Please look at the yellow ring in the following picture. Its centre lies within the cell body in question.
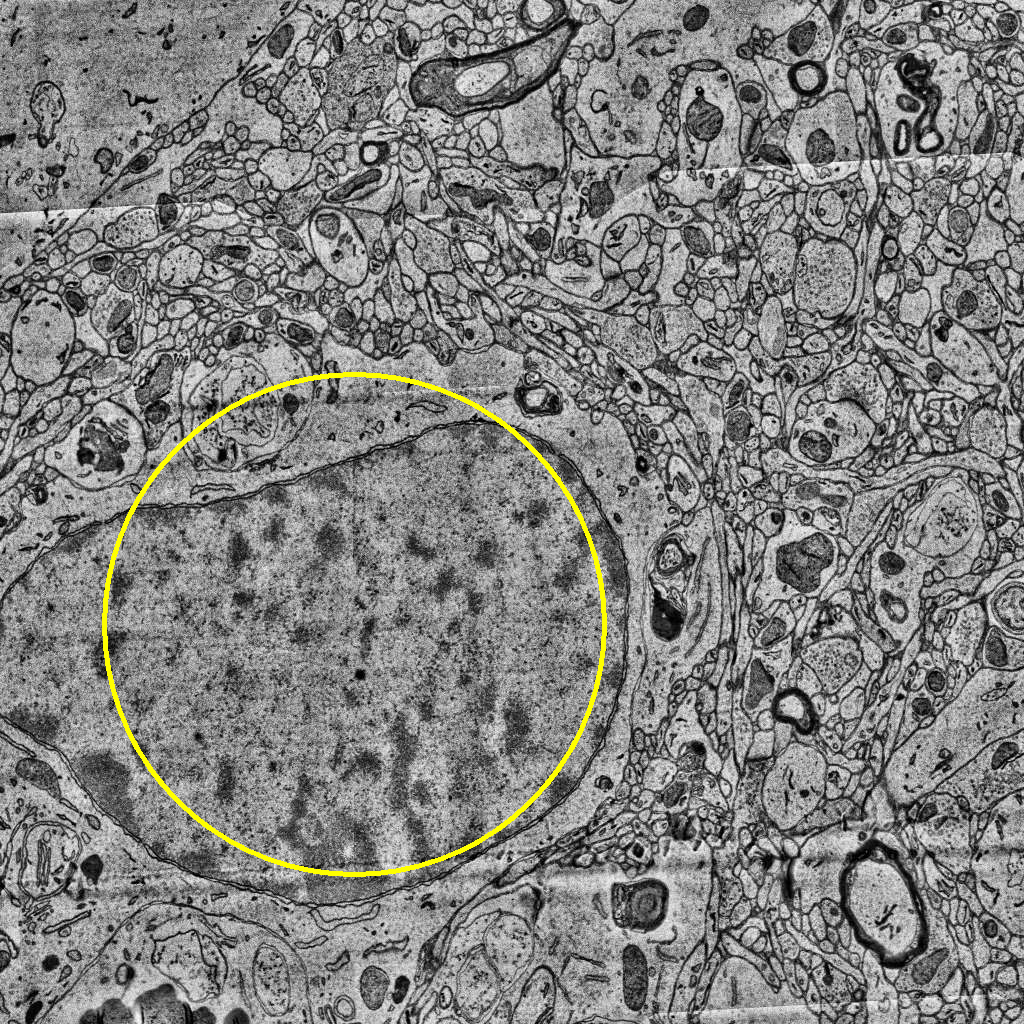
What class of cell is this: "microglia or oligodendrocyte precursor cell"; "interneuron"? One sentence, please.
The centre of the ring lies in the cell body of a microglial cell or oligodendrocyte precursor cell.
